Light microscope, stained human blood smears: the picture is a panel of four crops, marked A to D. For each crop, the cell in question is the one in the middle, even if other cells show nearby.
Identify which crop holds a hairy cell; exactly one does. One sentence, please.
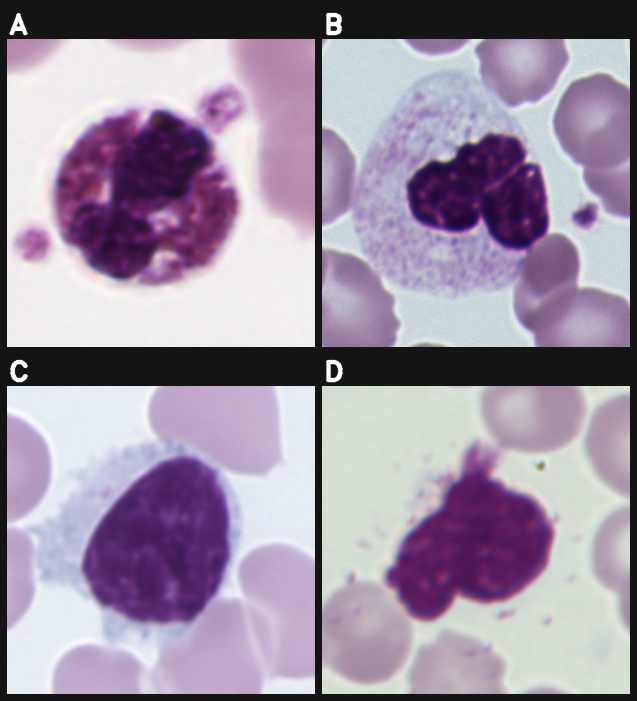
The one that shows a hairy cell is crop C.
